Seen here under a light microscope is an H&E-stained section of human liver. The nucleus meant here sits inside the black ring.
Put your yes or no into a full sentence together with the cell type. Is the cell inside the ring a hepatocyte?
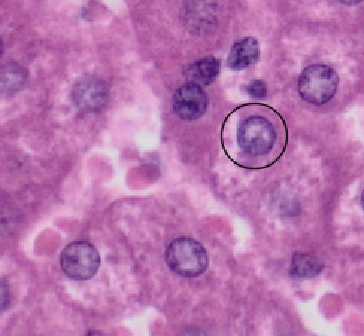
Yes, the cell inside the ring in this field is a hepatocyte.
